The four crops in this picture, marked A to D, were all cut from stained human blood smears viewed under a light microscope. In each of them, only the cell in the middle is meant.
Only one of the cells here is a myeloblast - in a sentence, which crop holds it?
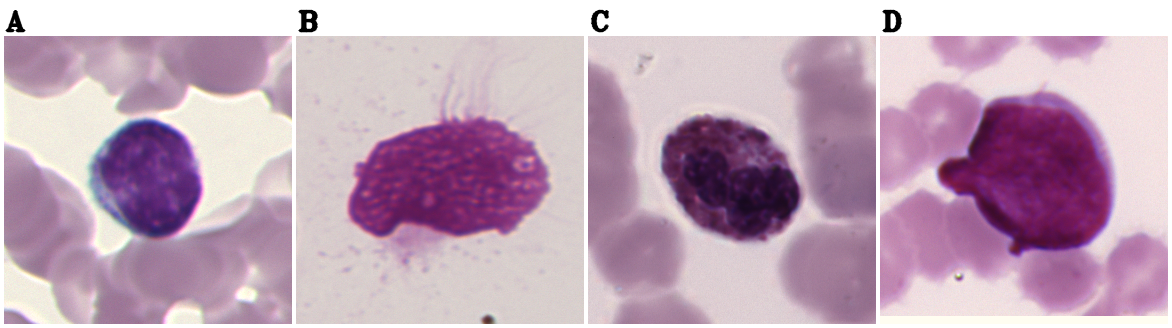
Here the crop that shows a myeloblast is crop D.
